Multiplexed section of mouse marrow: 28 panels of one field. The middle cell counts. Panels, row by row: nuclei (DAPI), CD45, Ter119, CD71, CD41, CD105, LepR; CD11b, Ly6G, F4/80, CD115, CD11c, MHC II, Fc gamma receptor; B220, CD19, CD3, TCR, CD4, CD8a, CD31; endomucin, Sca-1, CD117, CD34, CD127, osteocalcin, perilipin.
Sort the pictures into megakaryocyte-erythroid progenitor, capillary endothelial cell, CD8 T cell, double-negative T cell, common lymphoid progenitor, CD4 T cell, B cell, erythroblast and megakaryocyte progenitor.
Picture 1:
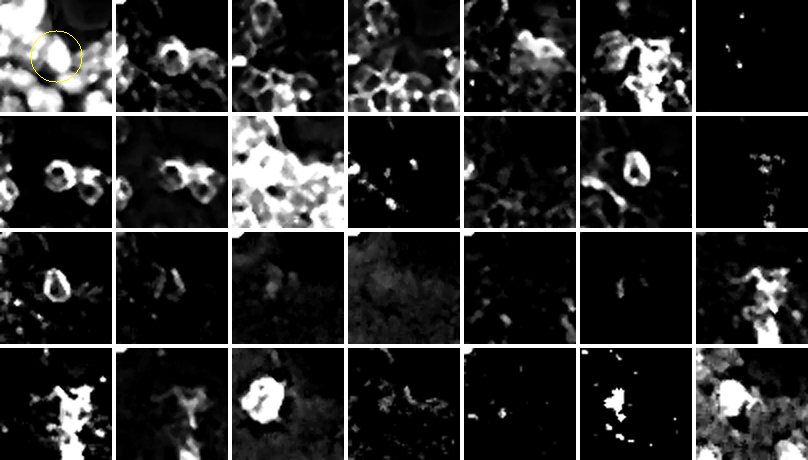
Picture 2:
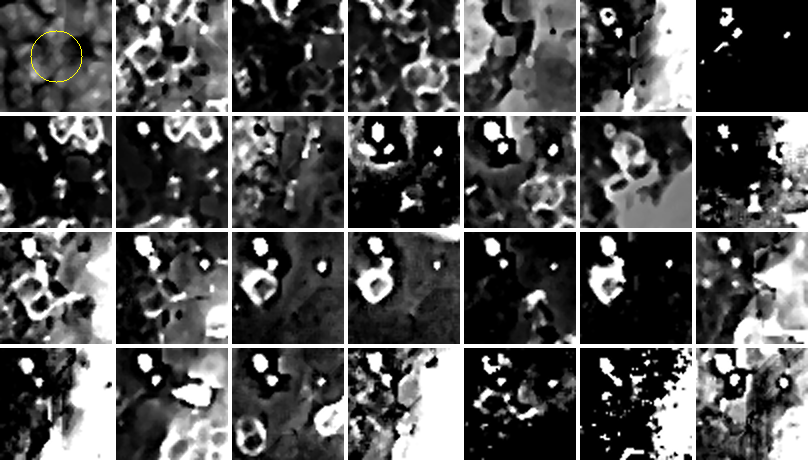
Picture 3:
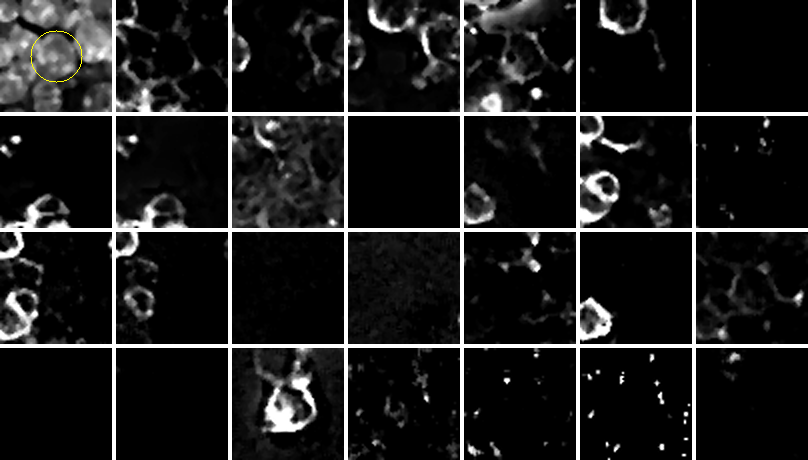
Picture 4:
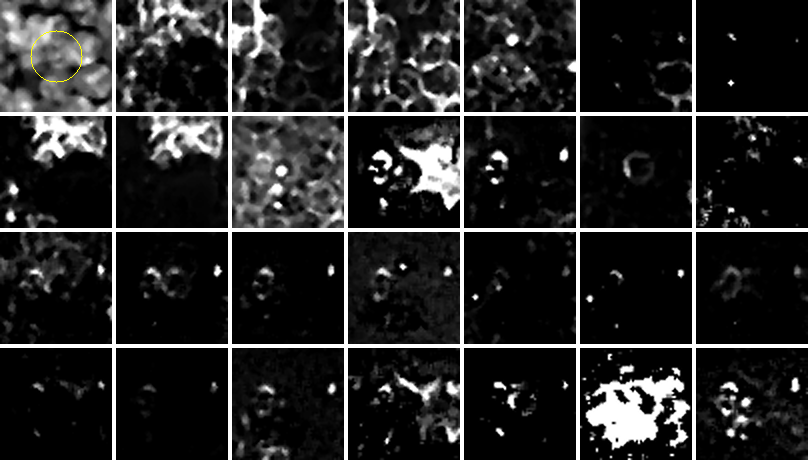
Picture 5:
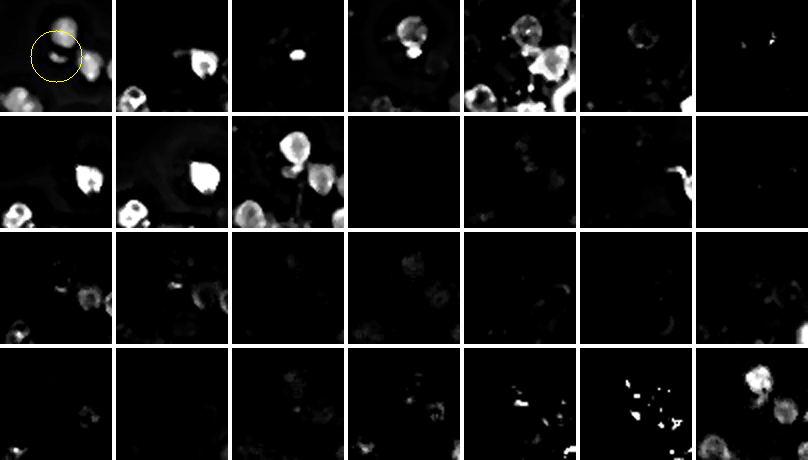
Megakaryocyte progenitors: 1
Capillary endothelial cells: 2
Megakaryocyte-erythroid progenitors: 3
Common lymphoid progenitors: 4, 5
